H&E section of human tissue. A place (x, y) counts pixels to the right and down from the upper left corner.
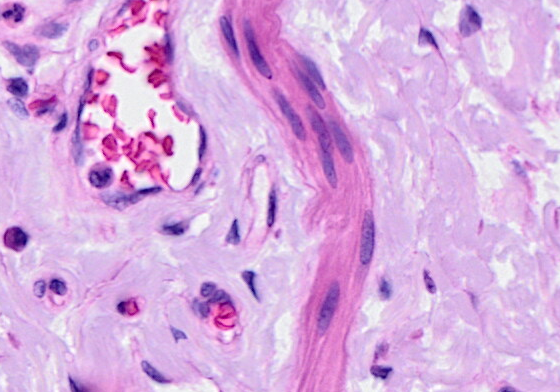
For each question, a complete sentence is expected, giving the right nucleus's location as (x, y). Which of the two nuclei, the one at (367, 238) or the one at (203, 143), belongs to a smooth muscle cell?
The nucleus at (367, 238) is housed in a smooth muscle cell.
